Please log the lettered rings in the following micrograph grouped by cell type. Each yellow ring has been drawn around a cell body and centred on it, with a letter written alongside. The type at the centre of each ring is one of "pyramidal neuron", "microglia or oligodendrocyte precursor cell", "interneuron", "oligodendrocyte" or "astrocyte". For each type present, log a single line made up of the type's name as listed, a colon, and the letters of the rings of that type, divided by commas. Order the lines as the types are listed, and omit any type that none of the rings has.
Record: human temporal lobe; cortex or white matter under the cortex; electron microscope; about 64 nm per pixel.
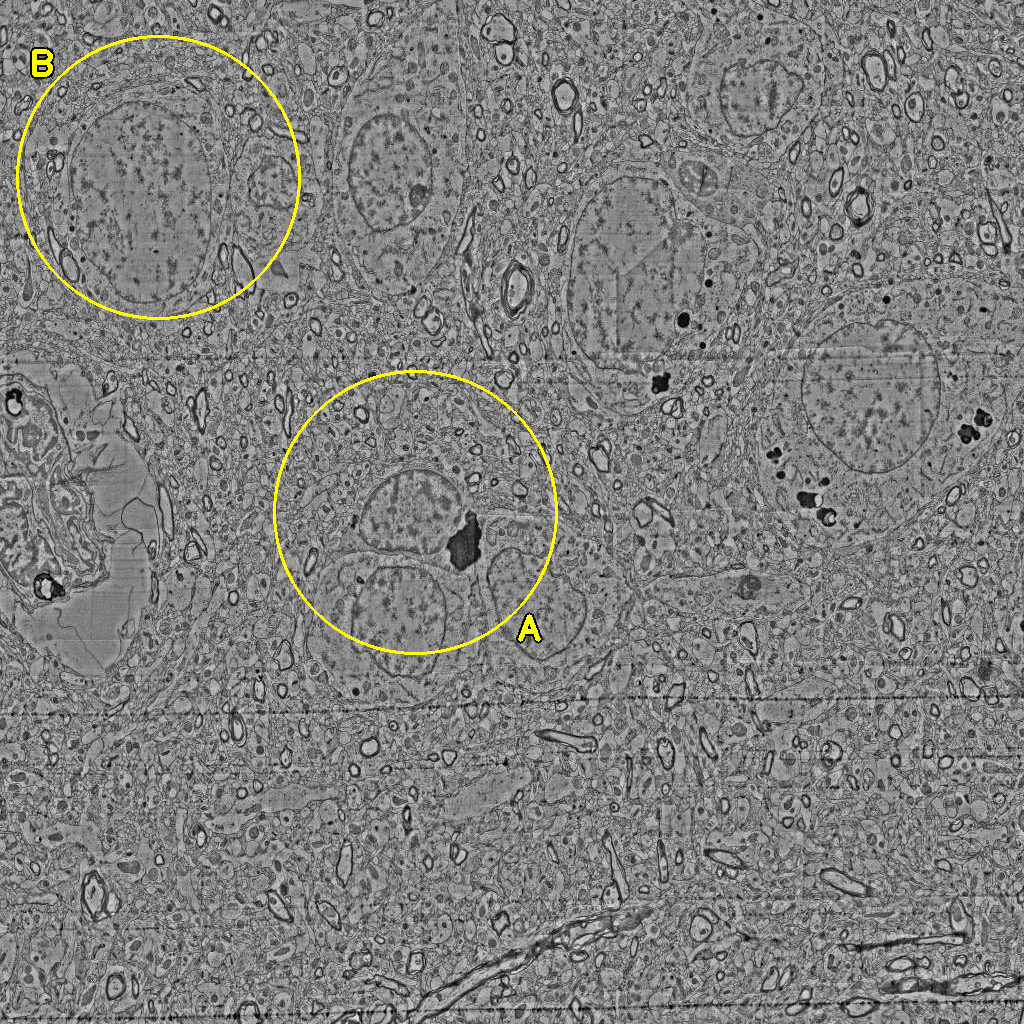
pyramidal neuron: B
oligodendrocyte: A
